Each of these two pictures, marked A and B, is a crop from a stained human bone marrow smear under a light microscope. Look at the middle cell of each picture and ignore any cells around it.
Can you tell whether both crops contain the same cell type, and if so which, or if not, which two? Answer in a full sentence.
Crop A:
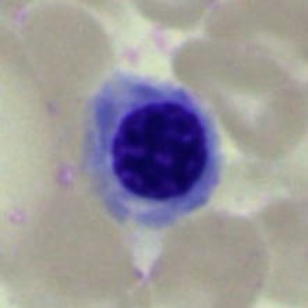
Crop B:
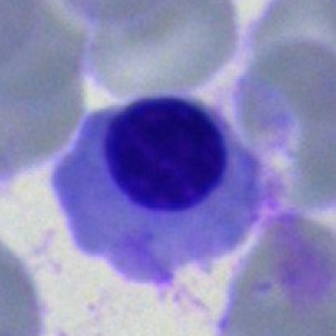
Yes, erythroblasts are present at the centre of both crops.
